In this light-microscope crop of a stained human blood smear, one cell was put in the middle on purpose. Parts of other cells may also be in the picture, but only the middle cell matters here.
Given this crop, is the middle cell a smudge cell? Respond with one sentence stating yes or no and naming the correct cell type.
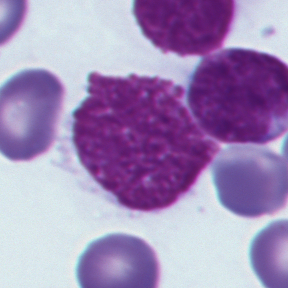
Yes, the cell at the centre is designated a smudge cell.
